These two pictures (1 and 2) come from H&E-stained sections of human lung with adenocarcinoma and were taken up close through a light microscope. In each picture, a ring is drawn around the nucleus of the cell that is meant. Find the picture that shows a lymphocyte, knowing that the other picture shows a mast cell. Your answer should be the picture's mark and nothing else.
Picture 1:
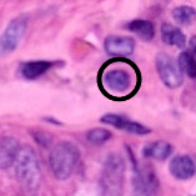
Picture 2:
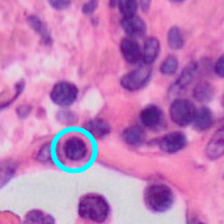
2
